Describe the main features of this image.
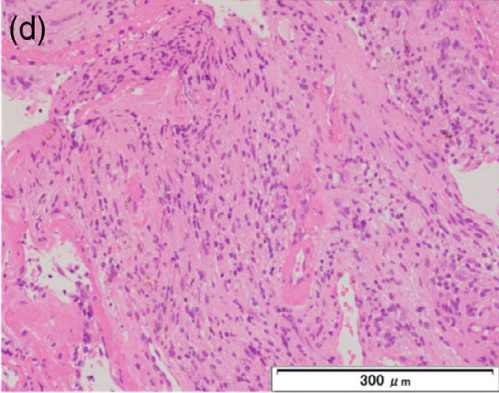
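The field is filled by a dense proliferation of spindle-shaped cells whose elongated, slender, often wavy dark purple nuclei lie in pale pink fibrillary cytoplasm. The cells run in parallel, streaming bundles that sweep across the field in an organized manner rather than haphazardly. Scattered among them are glassy pink bands and thick-walled structures, and a few tiny brown granules appear near the upper right. Some small round nuclei, likely inflammatory cells, lie between the bundles. Such an orderly fascicular growth of spindle cells with thickened glassy vessels fits a nerve sheath tumor of the schwannoma type.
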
